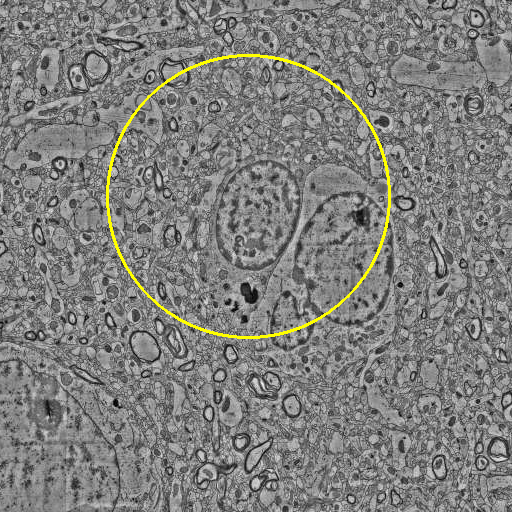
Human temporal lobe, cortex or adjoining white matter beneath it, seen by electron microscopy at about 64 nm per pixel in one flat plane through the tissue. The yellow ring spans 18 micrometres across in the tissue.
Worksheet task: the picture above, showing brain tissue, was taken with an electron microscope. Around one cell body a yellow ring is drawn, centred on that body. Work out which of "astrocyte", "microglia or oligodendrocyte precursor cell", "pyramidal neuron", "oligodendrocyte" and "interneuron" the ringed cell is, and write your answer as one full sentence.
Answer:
It is an oligodendrocyte whose cell body lies at the centre of the yellow ring.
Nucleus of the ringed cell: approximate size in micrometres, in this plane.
About 7 by 5 micrometers for the nucleus, in this plane.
